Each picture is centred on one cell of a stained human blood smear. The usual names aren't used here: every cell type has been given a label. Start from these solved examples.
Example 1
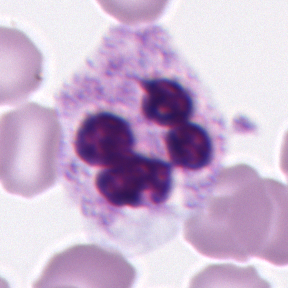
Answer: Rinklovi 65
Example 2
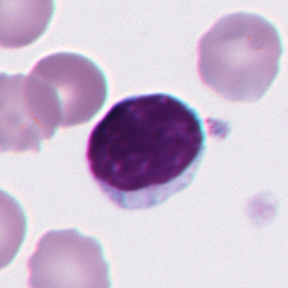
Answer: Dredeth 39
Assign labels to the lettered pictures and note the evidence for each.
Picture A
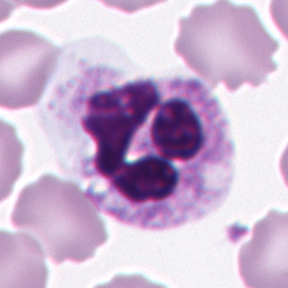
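Label: Rinklovi 65. The nucleus is divided into three separate lobes.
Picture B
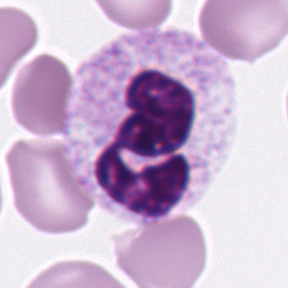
Label: Rinklovi 65. The cytoplasm is plentiful and pale pink.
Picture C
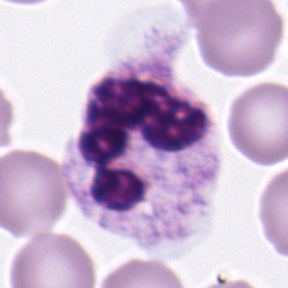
Label: Rinklovi 65. The cytoplasm is abundant and pale pinkish-lilac.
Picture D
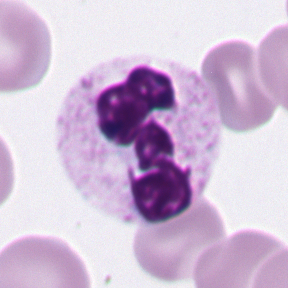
Label: Rinklovi 65. The cytoplasm is plentiful and very pale lilac-pink.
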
